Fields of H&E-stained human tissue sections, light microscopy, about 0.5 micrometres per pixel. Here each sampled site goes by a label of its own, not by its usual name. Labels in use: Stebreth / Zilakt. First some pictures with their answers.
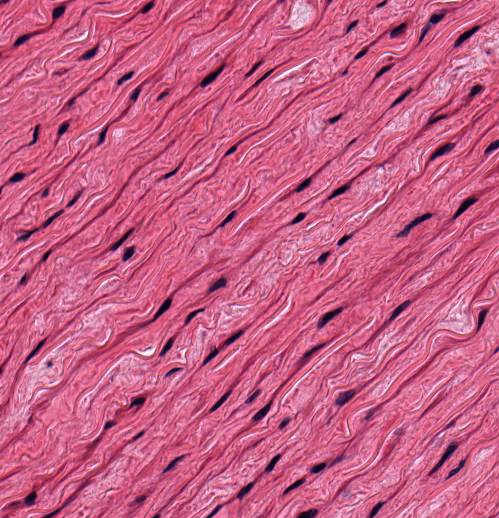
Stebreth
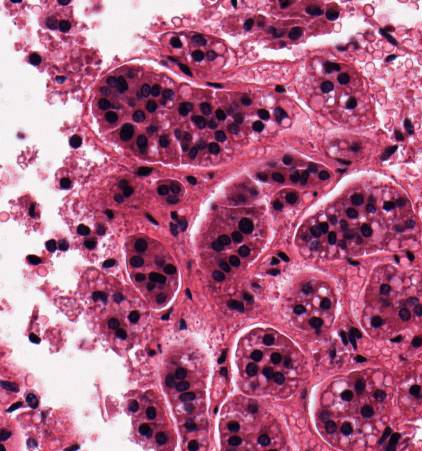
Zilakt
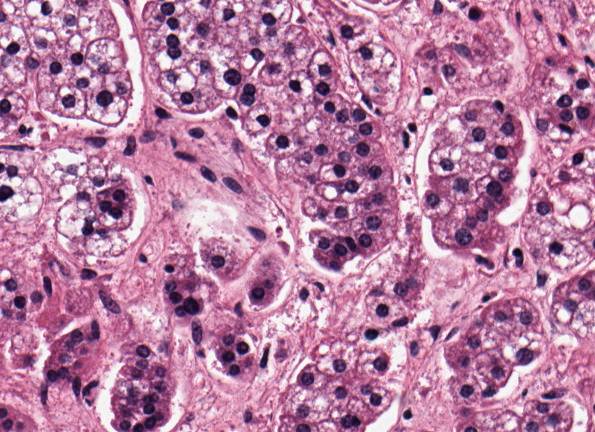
Zilakt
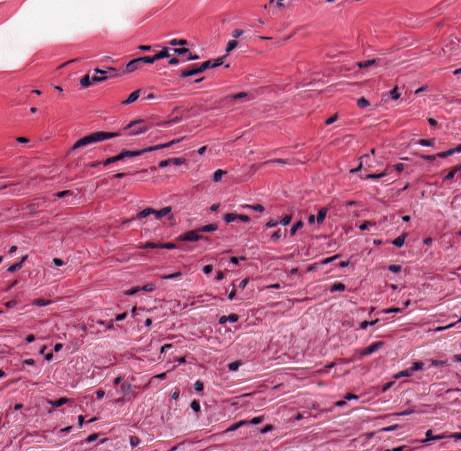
Stebreth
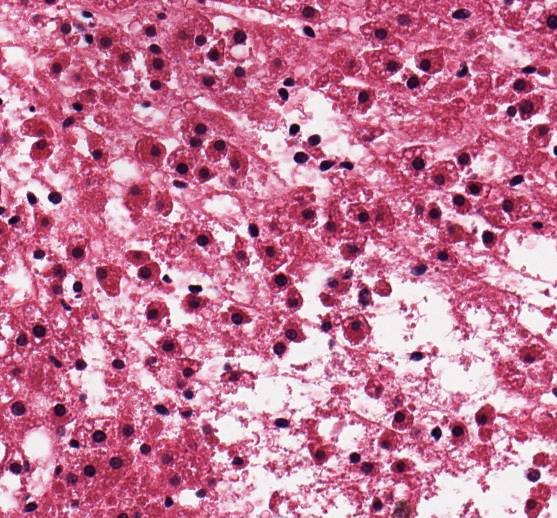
Zilakt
